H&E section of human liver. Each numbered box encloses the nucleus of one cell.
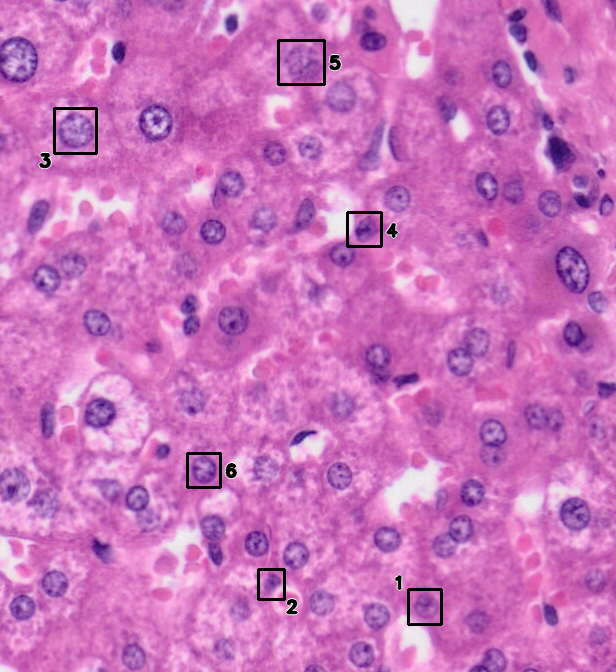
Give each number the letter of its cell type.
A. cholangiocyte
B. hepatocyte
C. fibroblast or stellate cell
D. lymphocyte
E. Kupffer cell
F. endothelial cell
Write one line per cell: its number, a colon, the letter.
1: B
2: F
3: B
4: F
5: B
6: B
